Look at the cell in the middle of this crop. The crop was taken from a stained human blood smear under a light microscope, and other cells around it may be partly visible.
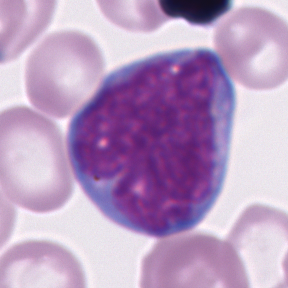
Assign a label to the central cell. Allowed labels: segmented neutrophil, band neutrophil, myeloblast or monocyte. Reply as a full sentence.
The crop centres on a single cell, and that cell is a myeloblast.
